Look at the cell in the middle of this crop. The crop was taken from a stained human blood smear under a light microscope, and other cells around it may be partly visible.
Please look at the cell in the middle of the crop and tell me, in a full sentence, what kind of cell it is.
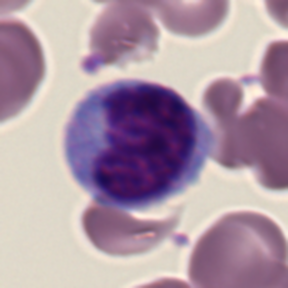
The middle of this crop holds a monocyte.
